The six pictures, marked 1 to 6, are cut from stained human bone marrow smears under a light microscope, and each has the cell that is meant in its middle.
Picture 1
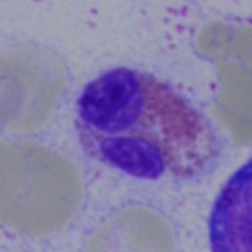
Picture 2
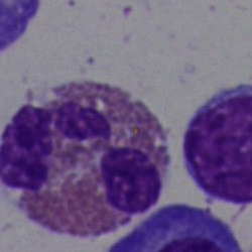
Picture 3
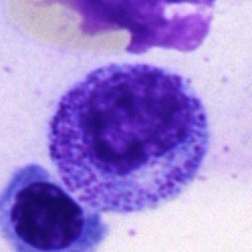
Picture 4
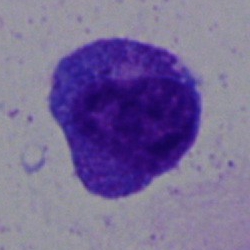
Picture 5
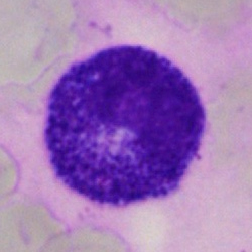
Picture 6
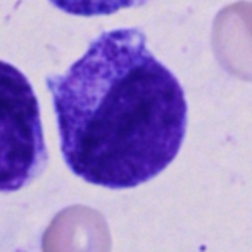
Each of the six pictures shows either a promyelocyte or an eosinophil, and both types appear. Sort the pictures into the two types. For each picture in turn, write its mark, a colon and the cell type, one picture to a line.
1: eosinophil
2: eosinophil
3: promyelocyte
4: promyelocyte
5: promyelocyte
6: promyelocyte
